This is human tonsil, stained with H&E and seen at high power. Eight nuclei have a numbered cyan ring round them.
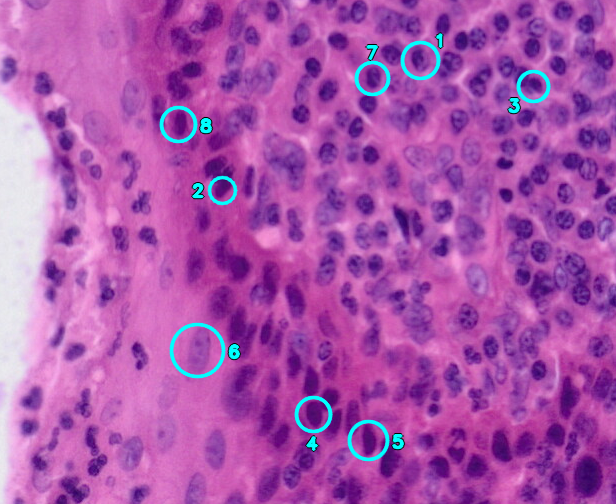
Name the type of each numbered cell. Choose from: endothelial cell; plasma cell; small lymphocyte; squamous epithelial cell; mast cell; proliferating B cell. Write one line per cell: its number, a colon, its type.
1: plasma cell
2: squamous epithelial cell
3: plasma cell
4: squamous epithelial cell
5: squamous epithelial cell
6: squamous epithelial cell
7: plasma cell
8: squamous epithelial cell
